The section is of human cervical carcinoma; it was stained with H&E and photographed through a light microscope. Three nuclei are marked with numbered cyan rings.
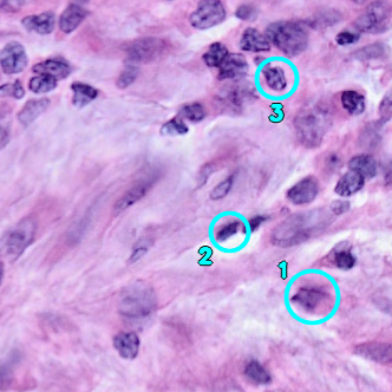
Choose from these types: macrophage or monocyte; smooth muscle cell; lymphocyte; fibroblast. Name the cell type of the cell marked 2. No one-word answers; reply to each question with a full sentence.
The cell assigned the number 2 is a lymphocyte.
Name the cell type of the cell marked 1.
Nucleus 1 in this section belongs to a macrophage or monocyte.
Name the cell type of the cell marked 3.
At number 3, the marked cell is a lymphocyte.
